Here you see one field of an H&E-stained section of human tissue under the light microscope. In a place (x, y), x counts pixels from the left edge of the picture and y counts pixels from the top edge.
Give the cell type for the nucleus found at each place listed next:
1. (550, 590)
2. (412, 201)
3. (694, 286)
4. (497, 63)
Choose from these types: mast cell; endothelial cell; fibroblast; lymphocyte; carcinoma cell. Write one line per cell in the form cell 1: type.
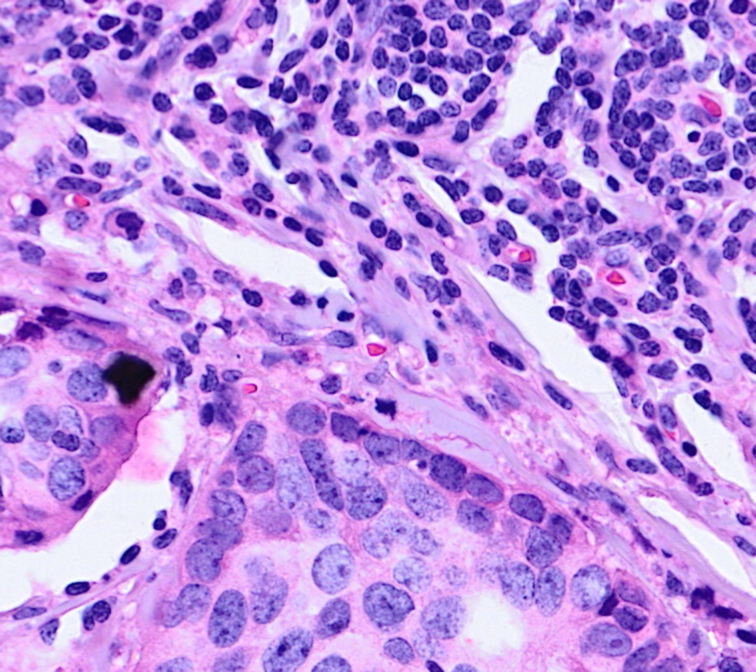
cell 1: carcinoma cell
cell 2: lymphocyte
cell 3: lymphocyte
cell 4: lymphocyte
